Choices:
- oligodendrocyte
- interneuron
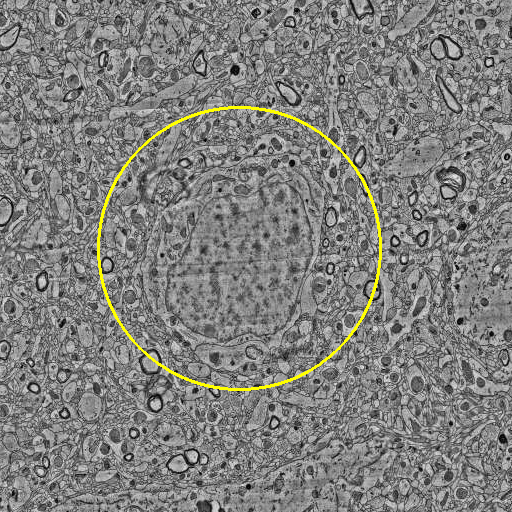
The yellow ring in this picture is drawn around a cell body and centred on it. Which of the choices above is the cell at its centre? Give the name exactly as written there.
interneuron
